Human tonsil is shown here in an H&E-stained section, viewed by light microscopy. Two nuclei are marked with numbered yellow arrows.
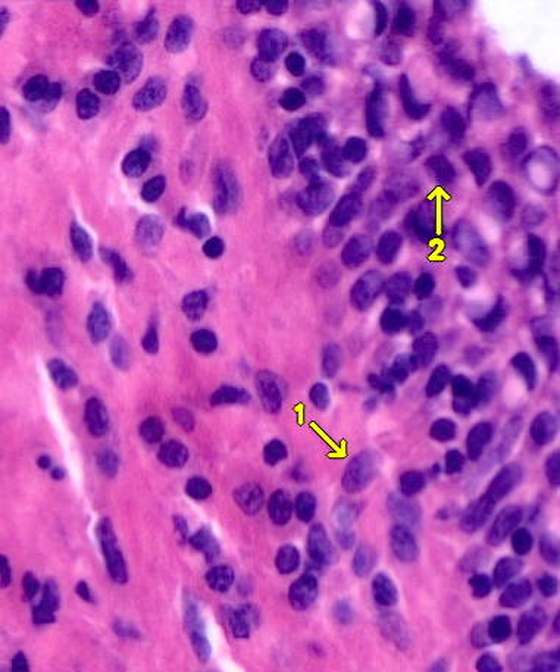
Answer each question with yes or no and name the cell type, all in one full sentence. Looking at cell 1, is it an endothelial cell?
Yes, an endothelial cell is what the cell numbered 1 is.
